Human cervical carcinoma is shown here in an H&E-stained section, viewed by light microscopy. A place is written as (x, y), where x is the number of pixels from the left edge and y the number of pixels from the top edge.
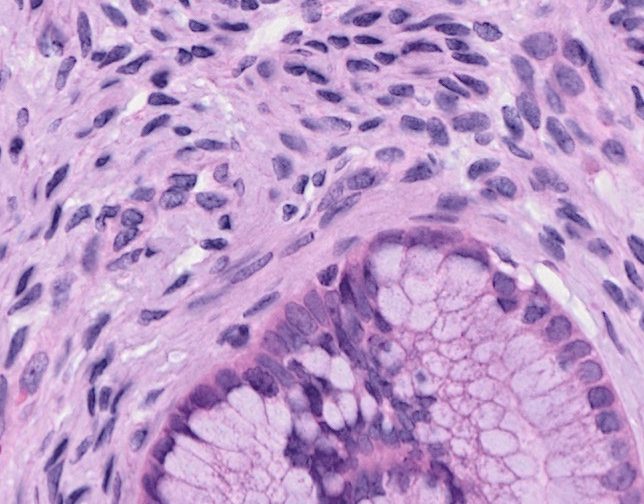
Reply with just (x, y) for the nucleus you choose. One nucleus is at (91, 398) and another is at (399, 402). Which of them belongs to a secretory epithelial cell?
(399, 402)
